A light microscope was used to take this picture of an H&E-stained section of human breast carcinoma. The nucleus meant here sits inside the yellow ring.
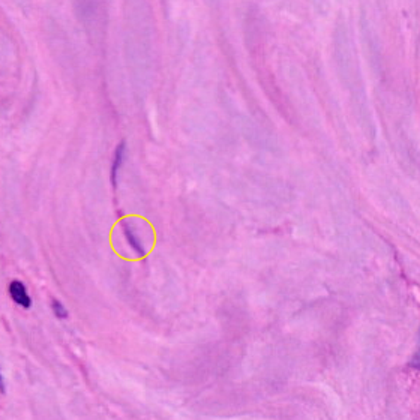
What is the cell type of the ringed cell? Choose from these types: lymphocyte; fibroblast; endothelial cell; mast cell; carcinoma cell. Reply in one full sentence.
The cell meant here is a fibroblast.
